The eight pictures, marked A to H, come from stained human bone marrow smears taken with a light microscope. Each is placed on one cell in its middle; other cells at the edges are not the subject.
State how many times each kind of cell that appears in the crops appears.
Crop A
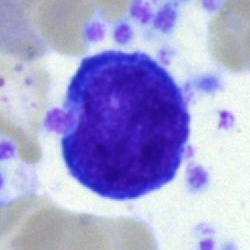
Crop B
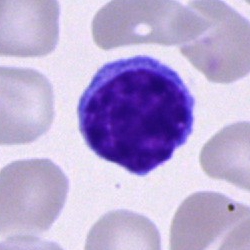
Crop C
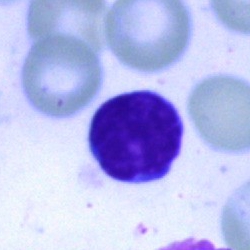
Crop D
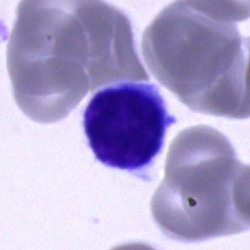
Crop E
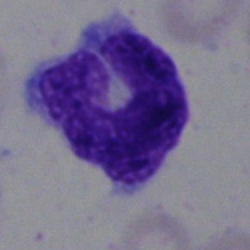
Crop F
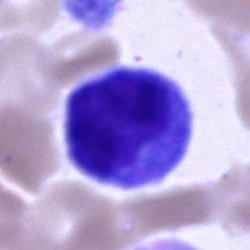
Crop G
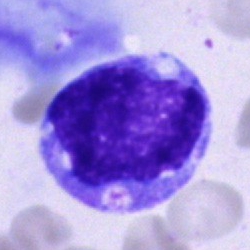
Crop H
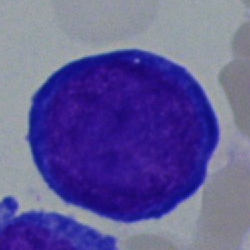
lymphocyte: 3
monocyte: 3
proerythroblast: 2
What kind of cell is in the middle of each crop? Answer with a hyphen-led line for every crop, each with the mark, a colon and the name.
- A: proerythroblast
- B: lymphocyte
- C: lymphocyte
- D: lymphocyte
- E: monocyte
- F: monocyte
- G: monocyte
- H: proerythroblast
